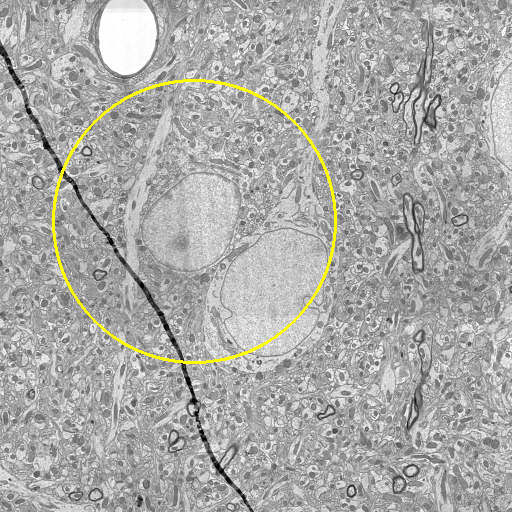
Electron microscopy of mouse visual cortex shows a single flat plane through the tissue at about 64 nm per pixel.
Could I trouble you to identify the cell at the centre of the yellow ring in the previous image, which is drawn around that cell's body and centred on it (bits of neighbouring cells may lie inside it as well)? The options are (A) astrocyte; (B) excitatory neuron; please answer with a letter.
A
